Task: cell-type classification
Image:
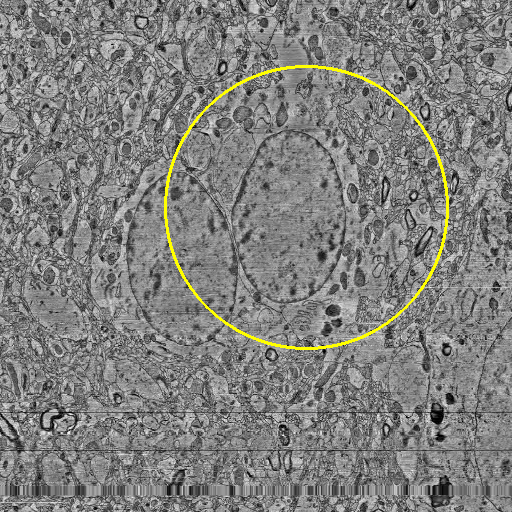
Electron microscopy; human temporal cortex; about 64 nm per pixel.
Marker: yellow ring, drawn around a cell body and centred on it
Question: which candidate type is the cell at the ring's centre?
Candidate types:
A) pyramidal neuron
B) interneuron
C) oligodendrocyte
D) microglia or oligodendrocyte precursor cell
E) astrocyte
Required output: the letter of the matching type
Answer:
E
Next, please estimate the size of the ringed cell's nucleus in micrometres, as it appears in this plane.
Clearly longer than it is wide in this plane, the nucleus measures roughly 11 by 7 micrometres.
